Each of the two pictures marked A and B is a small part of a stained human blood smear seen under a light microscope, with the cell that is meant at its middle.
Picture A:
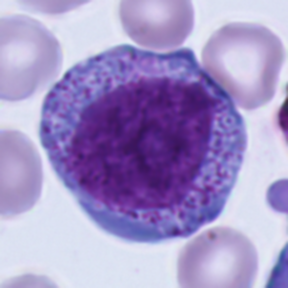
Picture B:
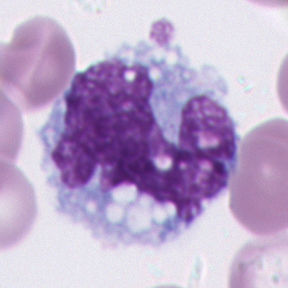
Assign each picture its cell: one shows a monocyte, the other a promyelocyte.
A: promyelocyte
B: monocyte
